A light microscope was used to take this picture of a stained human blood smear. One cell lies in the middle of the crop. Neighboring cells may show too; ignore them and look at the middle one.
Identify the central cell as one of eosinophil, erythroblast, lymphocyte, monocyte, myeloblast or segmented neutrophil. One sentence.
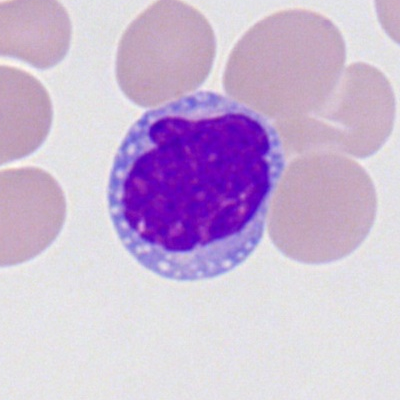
In short, the cell at the center is a monocyte.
